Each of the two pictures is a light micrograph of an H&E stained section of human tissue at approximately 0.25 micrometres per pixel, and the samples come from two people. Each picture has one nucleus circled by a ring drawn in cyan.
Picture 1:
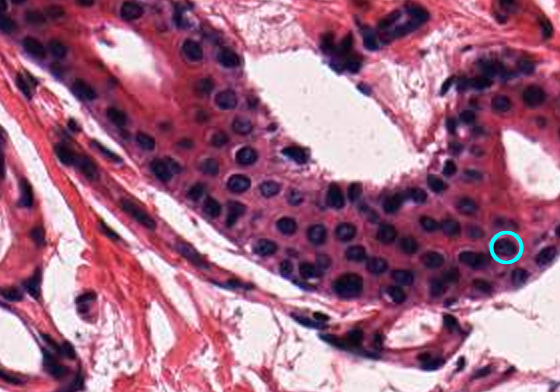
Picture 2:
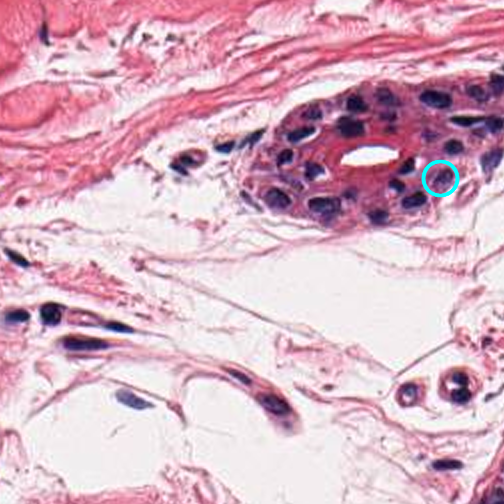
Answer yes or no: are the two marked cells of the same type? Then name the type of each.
Yes, both are sweat gland cells.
